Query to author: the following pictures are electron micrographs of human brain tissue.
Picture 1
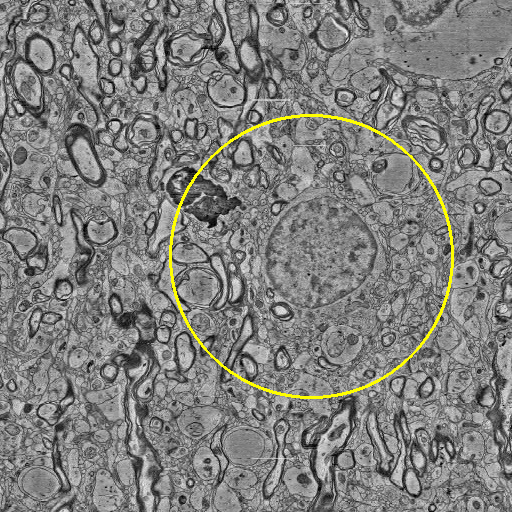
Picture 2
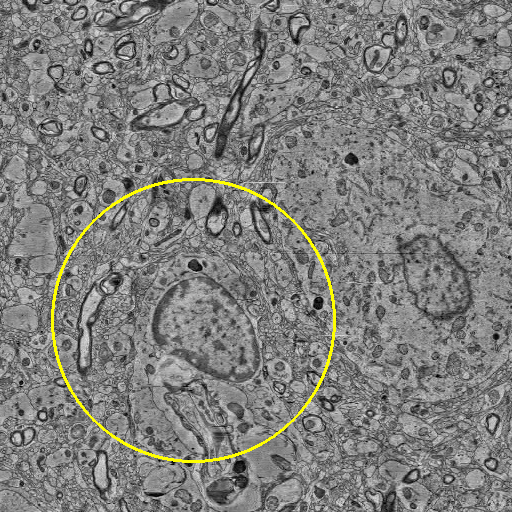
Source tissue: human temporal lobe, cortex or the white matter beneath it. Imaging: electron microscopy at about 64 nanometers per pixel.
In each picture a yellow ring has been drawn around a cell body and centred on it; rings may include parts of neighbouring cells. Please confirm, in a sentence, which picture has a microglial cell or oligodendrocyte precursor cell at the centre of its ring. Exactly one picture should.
Picture 2 has it at the centre of its ring.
